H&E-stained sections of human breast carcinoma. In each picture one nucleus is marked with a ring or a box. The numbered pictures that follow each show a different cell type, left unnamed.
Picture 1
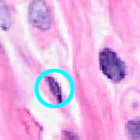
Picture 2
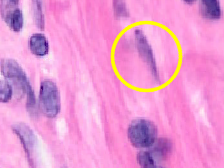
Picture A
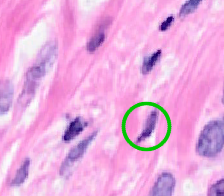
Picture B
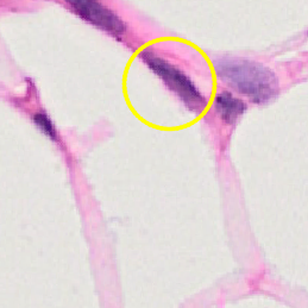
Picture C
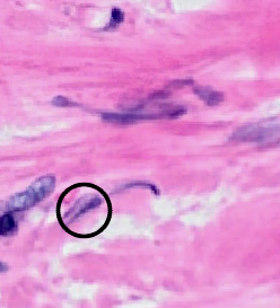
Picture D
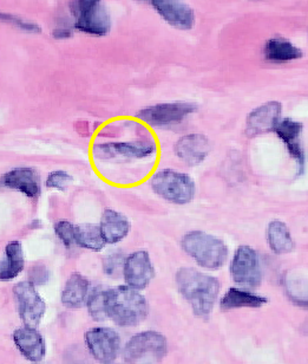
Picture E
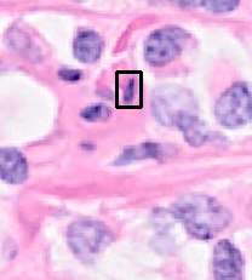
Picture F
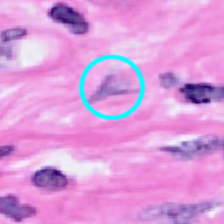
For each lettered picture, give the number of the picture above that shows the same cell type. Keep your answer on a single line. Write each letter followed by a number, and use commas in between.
A 2, B 1, C 1, D 1, E 1, F 2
